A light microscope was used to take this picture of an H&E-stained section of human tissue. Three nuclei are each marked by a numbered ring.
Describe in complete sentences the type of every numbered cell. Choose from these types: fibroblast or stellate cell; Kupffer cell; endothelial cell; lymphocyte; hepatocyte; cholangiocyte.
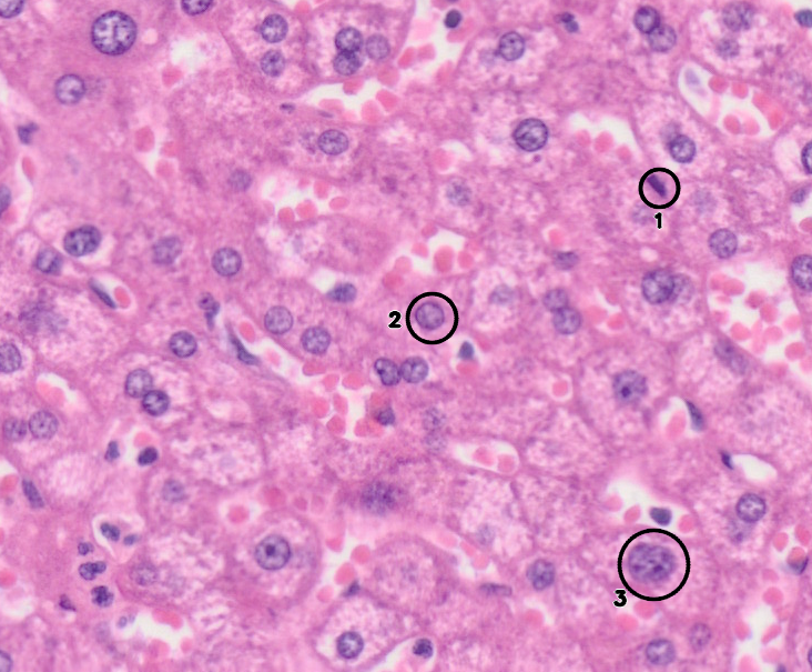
Cell 1 is a fibroblast or stellate cell. Cells 2 and 3 are hepatocytes.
